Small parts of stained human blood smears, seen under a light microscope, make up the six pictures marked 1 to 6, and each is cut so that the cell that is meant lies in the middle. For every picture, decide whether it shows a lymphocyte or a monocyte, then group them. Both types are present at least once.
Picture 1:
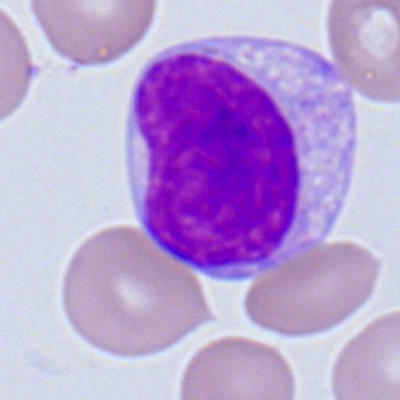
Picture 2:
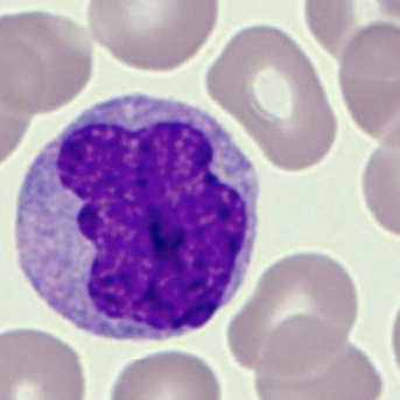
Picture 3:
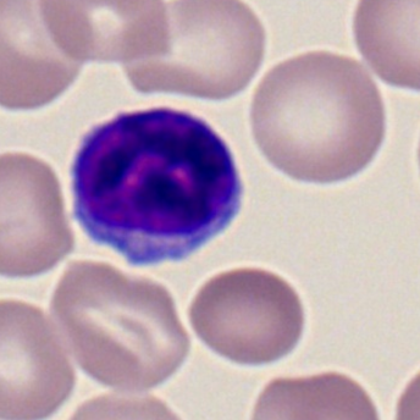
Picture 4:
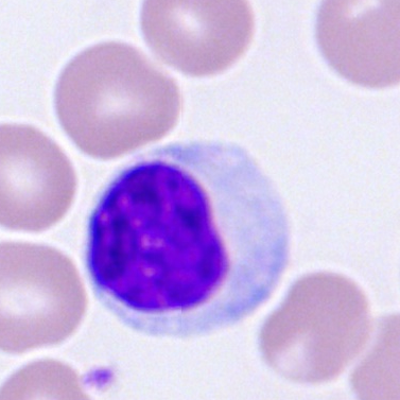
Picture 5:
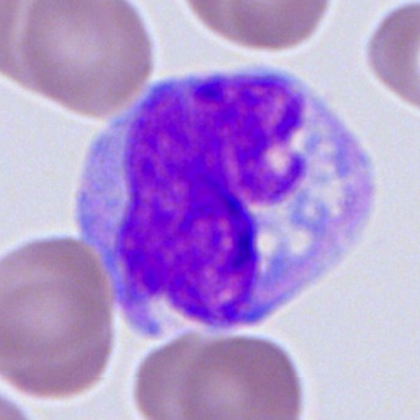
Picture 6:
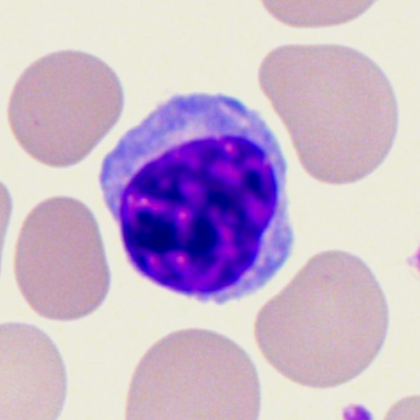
1: lymphocyte
2: monocyte
3: lymphocyte
4: lymphocyte
5: monocyte
6: lymphocyte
